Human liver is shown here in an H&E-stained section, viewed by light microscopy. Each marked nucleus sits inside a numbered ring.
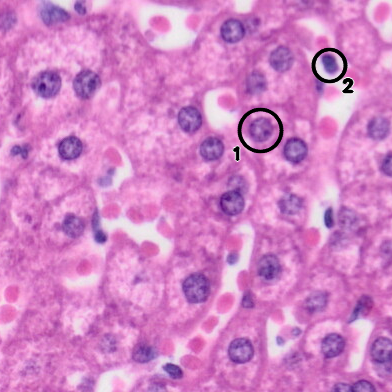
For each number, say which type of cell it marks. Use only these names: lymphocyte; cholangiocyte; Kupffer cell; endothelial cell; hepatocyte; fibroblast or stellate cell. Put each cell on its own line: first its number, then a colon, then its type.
1: hepatocyte
2: lymphocyte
